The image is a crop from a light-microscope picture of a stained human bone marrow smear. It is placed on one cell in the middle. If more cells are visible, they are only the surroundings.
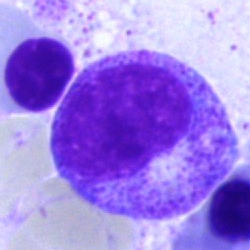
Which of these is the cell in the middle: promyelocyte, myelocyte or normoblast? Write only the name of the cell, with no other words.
myelocyte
